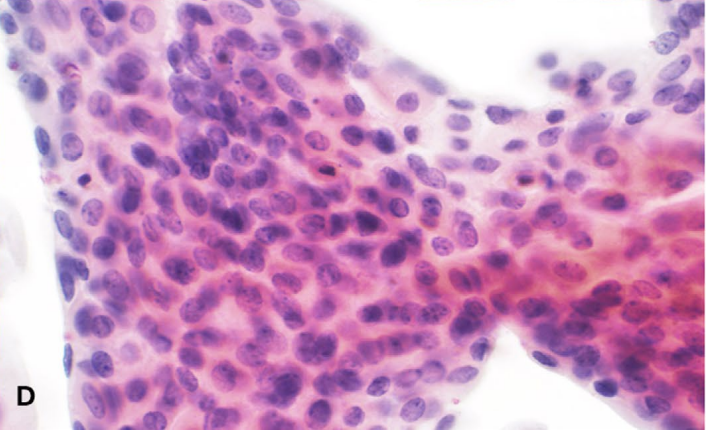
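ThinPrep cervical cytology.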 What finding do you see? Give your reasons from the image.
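Streaming cellular appearance. Indistinct cell borders.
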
